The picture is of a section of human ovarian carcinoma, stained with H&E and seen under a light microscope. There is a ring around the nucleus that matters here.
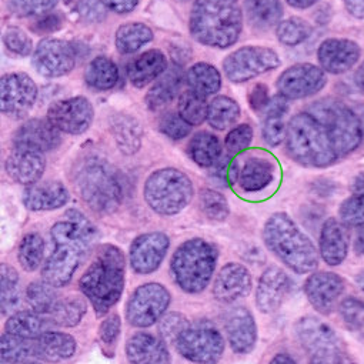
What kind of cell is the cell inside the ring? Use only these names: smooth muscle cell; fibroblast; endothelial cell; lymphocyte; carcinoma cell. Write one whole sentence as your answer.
By cell type, the cell inside the ring is a carcinoma cell.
